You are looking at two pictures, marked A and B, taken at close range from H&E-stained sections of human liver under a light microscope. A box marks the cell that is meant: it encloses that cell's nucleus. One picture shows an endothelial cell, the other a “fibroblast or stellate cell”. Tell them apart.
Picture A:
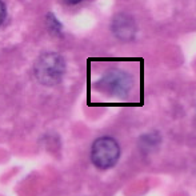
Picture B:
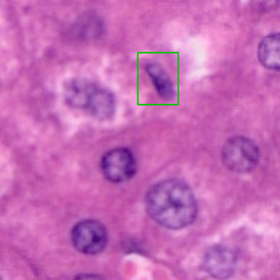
A: endothelial cell
B: fibroblast or stellate cell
